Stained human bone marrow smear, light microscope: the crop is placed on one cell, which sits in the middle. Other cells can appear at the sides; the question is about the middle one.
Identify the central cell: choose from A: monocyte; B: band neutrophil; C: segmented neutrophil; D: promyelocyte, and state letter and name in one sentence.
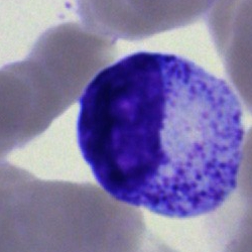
The correct response is option D, naming the cell in the middle as a promyelocyte.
